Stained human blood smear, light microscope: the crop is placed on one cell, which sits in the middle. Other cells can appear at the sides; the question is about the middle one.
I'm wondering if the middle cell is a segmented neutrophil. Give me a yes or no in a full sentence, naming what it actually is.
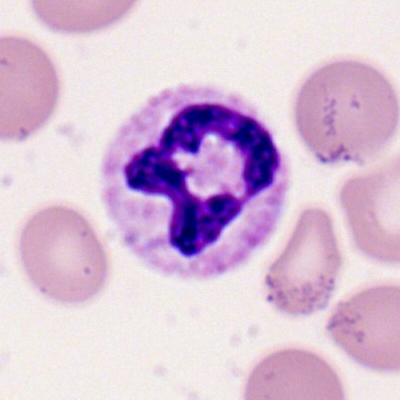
Yes, the cell located at the center is a segmented neutrophil.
